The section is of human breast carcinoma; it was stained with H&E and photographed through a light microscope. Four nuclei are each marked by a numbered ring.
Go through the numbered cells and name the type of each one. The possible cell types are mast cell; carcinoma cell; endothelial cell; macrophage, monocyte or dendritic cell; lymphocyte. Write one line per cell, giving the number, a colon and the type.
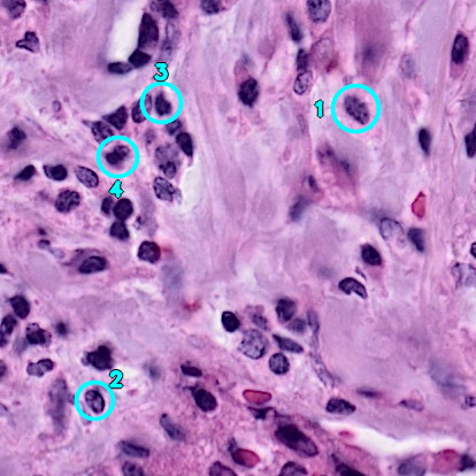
1: mast cell
2: lymphocyte
3: lymphocyte
4: lymphocyte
